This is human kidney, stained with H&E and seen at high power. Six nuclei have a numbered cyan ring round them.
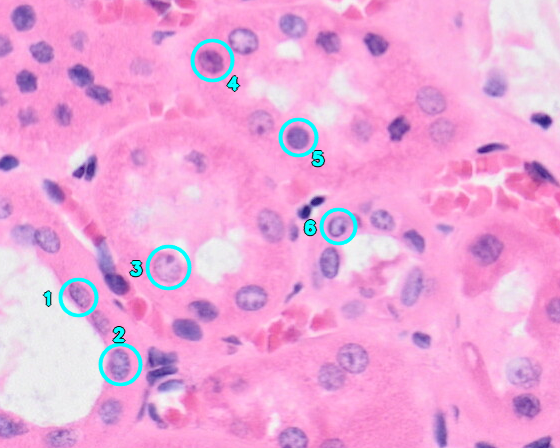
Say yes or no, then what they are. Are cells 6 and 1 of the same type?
No, cell 6 is a collecting duct cell and cell 1 is a loop of Henle or distal tubule cell.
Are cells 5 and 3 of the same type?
Yes, both are proximal tubule cells.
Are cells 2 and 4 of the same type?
No, cell 2 is a loop of Henle or distal tubule cell and cell 4 is a proximal tubule cell.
